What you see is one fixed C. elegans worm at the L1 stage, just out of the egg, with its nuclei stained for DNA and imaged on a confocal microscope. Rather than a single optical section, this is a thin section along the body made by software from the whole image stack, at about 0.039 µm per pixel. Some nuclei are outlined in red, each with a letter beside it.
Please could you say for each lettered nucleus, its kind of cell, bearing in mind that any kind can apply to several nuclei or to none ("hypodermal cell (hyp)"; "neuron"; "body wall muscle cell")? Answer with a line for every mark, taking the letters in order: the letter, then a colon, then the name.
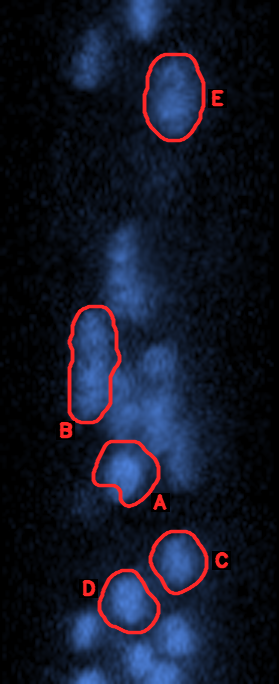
A: neuron
B: body wall muscle cell
C: neuron
D: neuron
E: body wall muscle cell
